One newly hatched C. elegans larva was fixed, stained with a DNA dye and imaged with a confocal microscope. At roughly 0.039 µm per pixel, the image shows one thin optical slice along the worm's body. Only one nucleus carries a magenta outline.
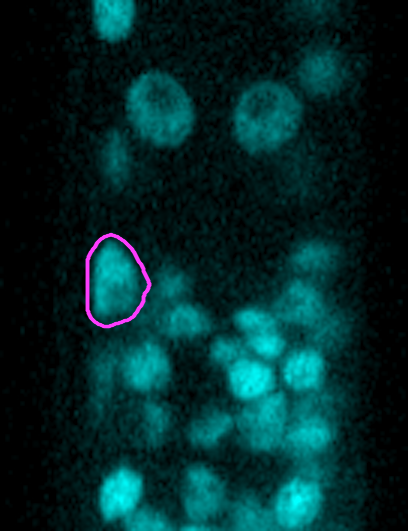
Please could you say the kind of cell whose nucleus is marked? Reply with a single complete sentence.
This is the nucleus of a body wall muscle cell.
